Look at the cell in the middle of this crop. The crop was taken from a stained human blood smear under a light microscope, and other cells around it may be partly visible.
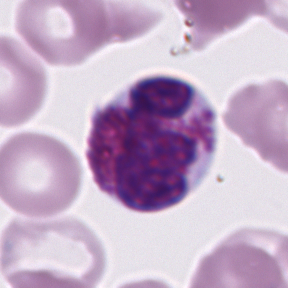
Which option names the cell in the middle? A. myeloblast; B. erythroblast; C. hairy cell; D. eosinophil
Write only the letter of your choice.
D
